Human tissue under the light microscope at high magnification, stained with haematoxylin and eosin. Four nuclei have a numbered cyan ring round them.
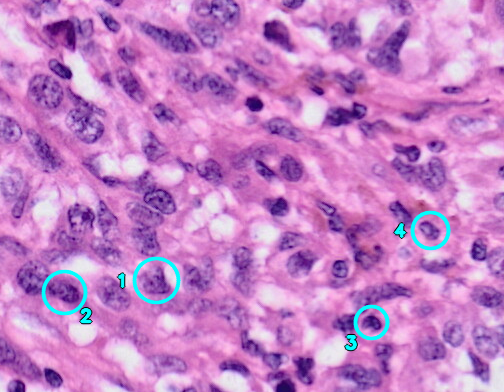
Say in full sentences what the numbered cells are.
Cell 1 is a melanoma cell, cell 2 is a melanoma cell, cell 3 is a lymphocyte and cell 4 is a lymphocyte.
